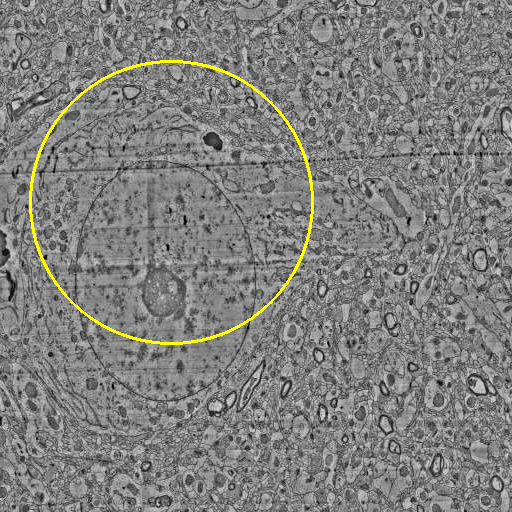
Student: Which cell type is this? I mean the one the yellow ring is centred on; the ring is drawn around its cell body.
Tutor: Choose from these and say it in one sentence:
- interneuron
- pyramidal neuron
The cell the ring is centred on is a pyramidal neuron.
